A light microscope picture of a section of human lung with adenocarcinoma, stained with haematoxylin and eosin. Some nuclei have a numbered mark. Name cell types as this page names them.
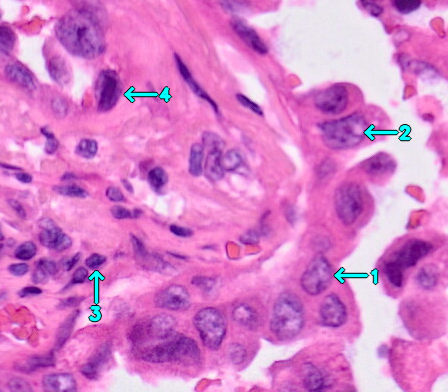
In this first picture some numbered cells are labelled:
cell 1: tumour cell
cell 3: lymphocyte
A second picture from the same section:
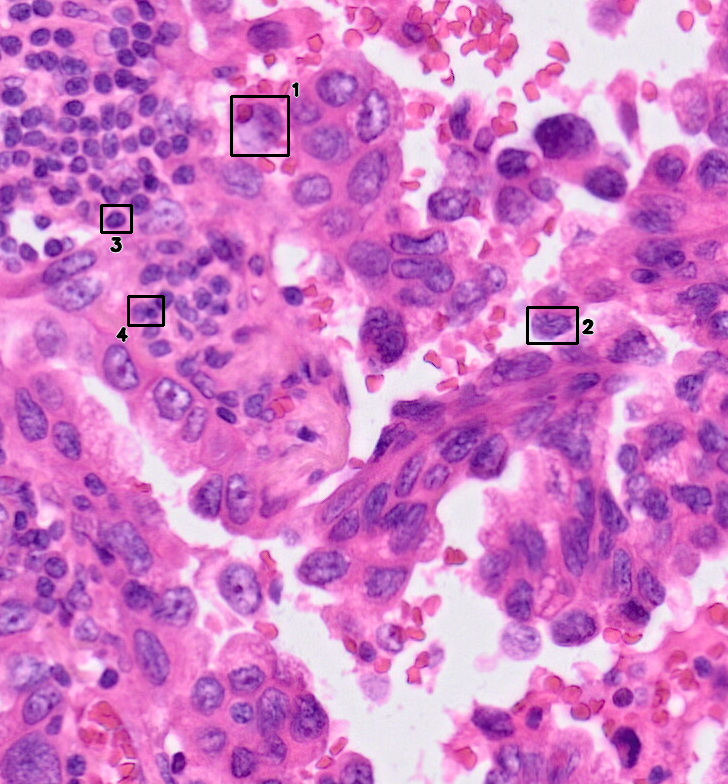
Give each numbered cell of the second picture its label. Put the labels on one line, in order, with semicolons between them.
tumour cell; tumour cell; lymphocyte; lymphocyte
